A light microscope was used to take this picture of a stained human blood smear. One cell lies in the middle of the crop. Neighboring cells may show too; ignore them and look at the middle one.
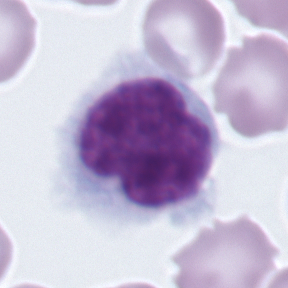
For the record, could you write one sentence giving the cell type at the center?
Occupying the centre of the crop is a hairy cell.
